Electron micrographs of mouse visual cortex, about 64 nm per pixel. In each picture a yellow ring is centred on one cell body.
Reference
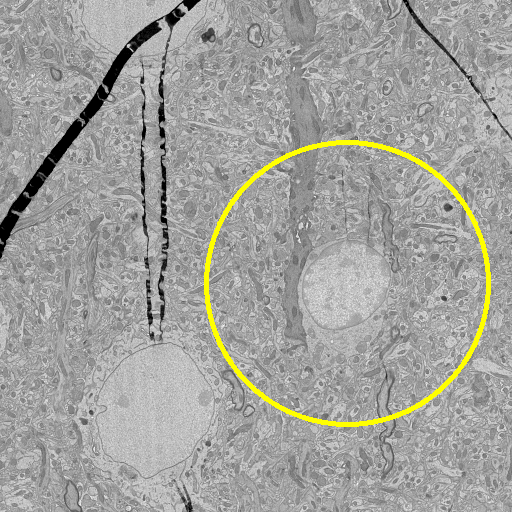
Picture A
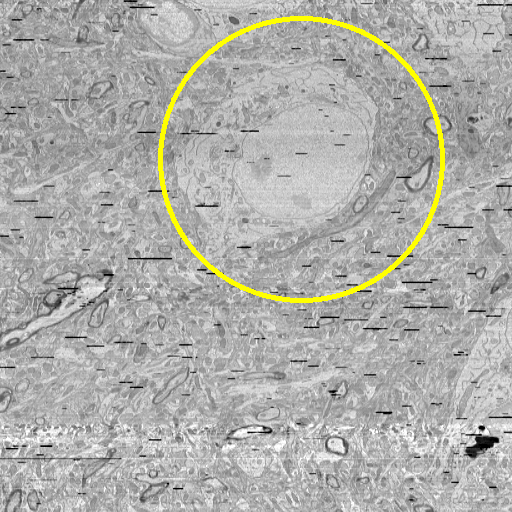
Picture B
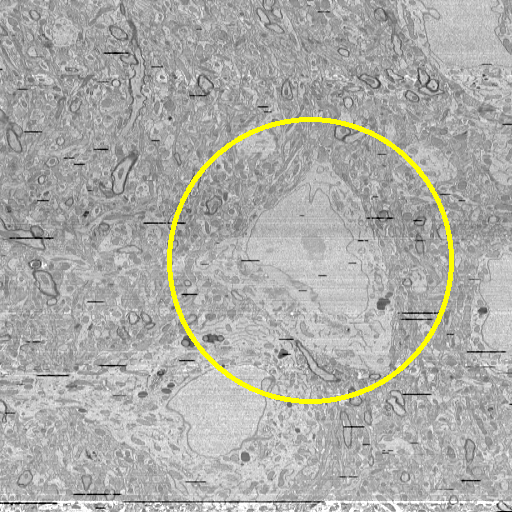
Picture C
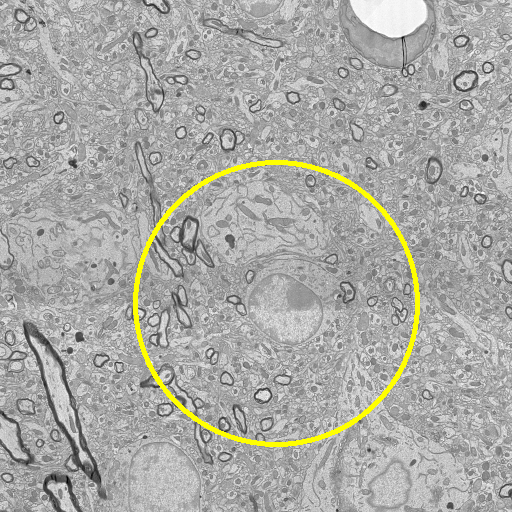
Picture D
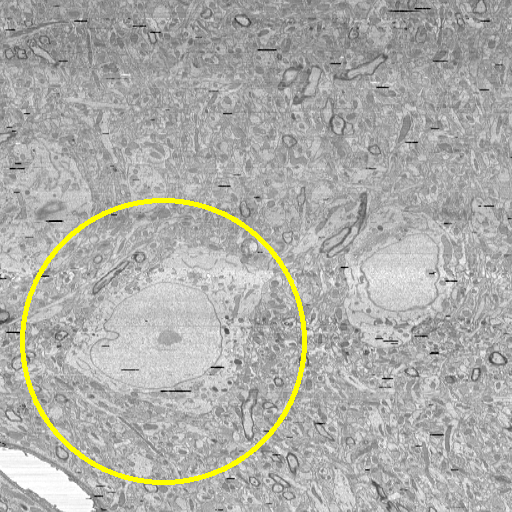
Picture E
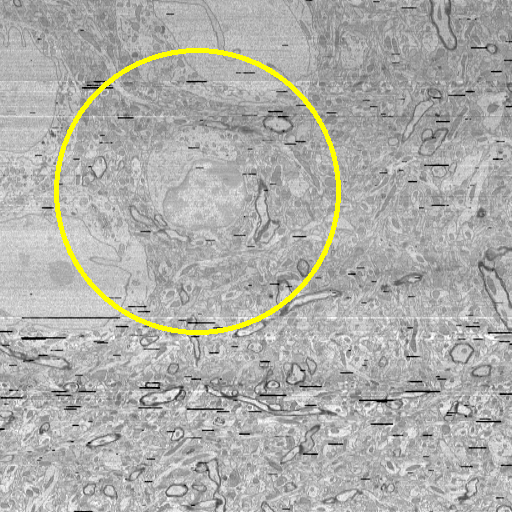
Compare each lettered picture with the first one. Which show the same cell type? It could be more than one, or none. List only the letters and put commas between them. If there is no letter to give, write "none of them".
C, E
